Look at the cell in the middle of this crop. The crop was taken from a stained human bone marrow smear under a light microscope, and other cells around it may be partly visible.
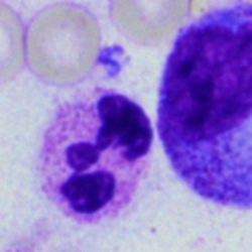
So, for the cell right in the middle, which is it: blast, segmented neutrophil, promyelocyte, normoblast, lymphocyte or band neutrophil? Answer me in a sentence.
The central cell in this smear crop is a segmented neutrophil.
